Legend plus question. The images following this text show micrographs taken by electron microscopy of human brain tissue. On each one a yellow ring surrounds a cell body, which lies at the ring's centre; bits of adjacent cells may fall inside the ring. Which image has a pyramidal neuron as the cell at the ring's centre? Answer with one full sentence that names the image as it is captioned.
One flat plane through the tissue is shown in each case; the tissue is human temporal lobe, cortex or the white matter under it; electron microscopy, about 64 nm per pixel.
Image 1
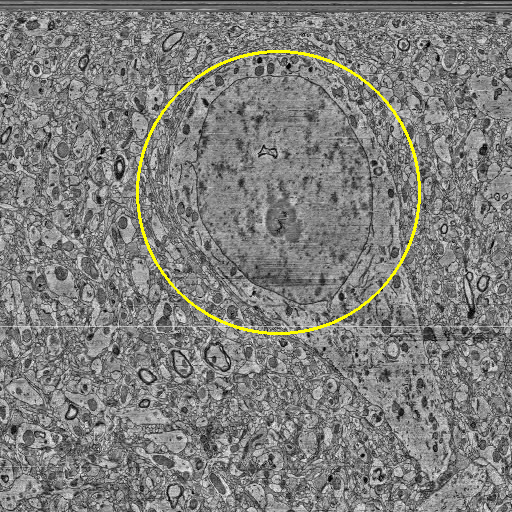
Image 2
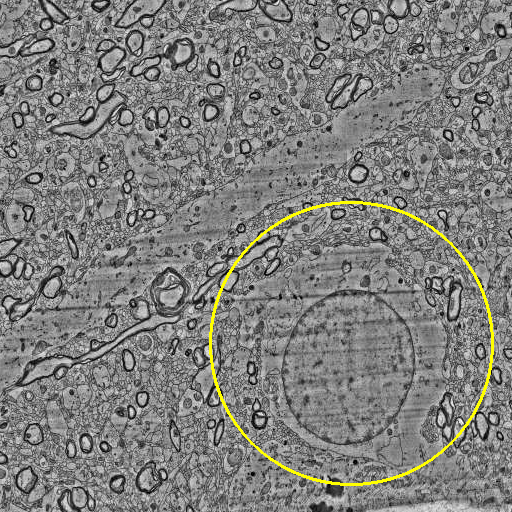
The centred cell that was asked for is the one in Image 1.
